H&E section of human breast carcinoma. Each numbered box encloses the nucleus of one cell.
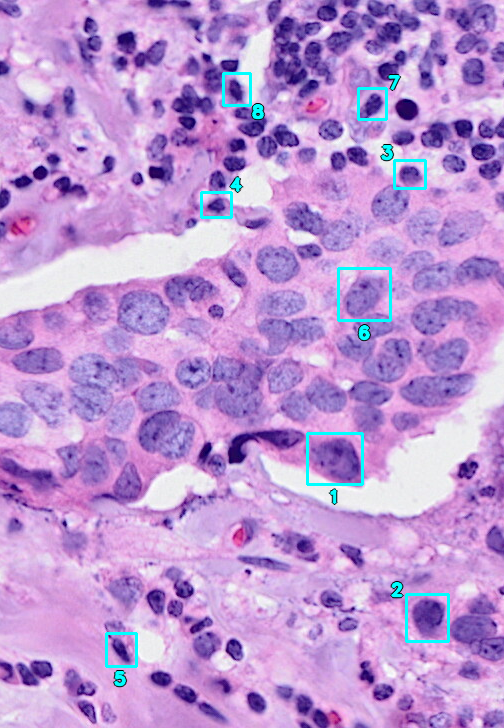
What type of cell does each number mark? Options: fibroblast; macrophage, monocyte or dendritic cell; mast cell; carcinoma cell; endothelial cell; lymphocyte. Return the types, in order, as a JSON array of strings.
["carcinoma cell", "carcinoma cell", "lymphocyte", "lymphocyte", "lymphocyte", "carcinoma cell", "lymphocyte", "lymphocyte"]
